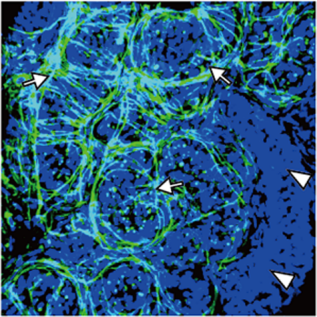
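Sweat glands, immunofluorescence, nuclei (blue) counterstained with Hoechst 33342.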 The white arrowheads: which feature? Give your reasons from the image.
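The arrowheads mark a broad area of dense blue nuclei. That area has few green threads on it.
Hence: ductal tubules.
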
